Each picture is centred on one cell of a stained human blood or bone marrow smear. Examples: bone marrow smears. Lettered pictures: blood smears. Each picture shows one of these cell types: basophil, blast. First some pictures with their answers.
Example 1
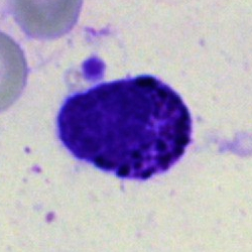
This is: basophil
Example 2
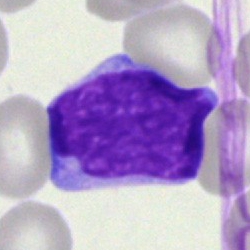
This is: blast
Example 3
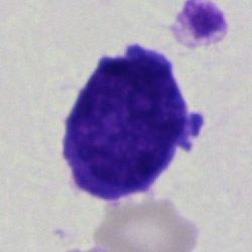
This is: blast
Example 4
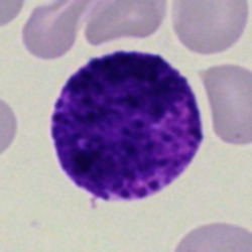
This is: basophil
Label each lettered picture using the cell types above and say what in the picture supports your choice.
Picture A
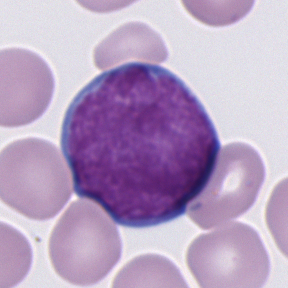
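Answer: blast. The cytoplasm is deep blue.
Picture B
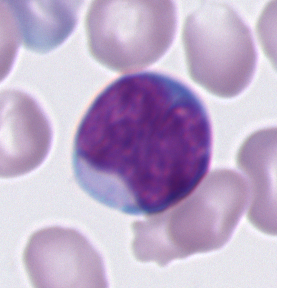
Answer: blast. The cytoplasm is blue.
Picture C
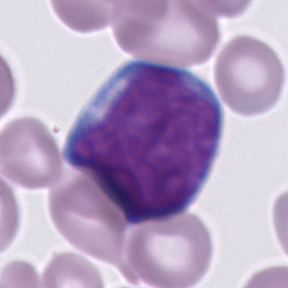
Answer: blast. The cytoplasm stains blue.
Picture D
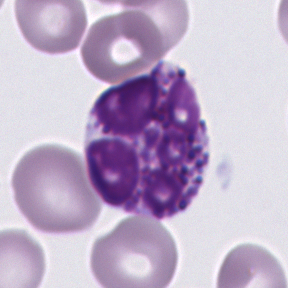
Answer: basophil. Only a small amount of pale pinkish cytoplasm shows between the nuclear lobes.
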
